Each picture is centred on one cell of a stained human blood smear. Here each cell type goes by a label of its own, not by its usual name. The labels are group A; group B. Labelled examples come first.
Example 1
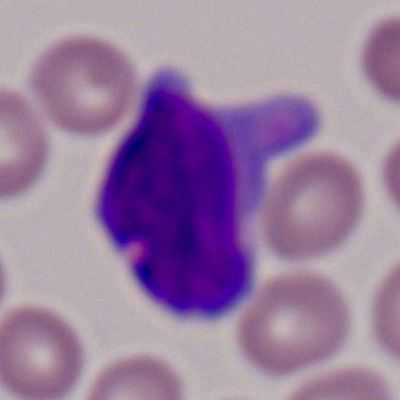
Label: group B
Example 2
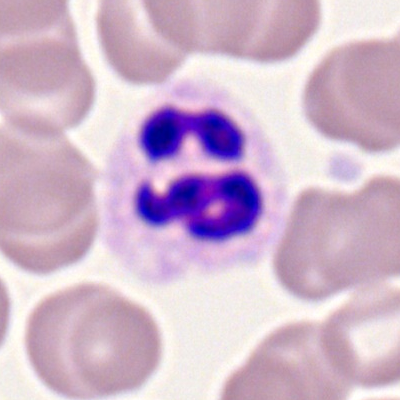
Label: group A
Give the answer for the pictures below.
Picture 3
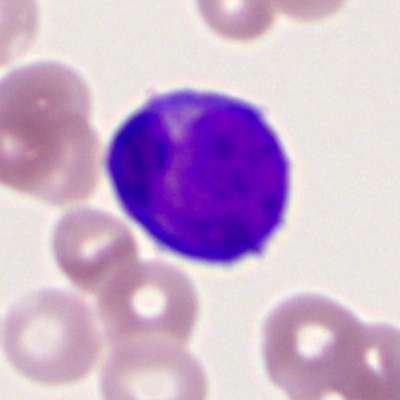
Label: group B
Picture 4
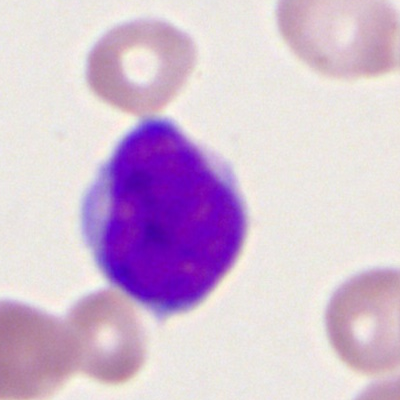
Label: group B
